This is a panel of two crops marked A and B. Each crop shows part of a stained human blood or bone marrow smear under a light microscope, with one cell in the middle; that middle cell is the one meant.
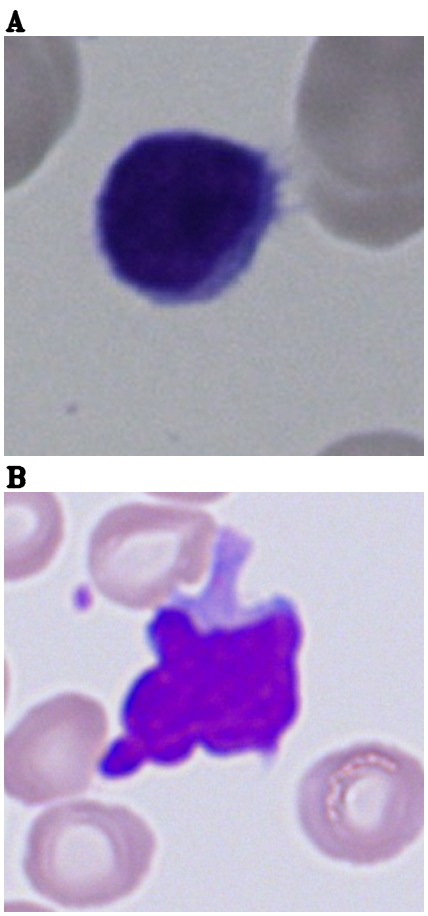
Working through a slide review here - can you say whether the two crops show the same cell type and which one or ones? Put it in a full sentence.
Yes, the two crops show lymphocytes, both of them.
